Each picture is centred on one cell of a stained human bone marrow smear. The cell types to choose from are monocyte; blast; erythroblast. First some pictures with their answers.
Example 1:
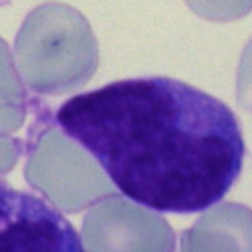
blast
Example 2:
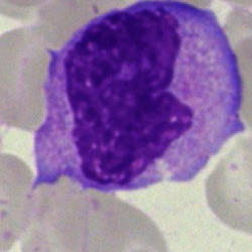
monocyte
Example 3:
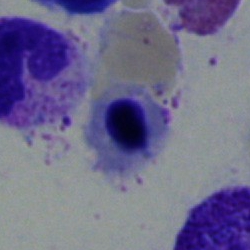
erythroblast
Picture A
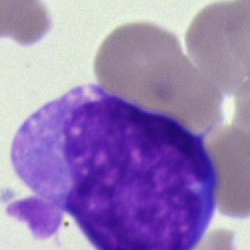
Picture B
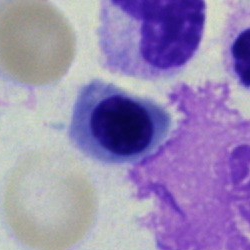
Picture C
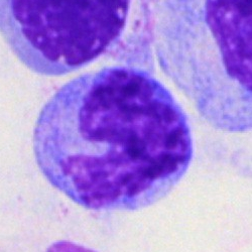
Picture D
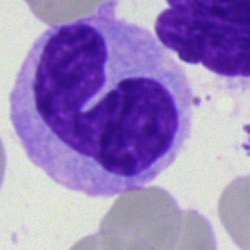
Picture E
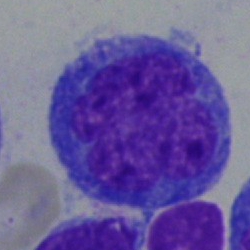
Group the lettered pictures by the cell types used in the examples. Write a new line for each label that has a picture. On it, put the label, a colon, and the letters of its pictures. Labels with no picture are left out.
monocyte: C, D
blast: A, E
erythroblast: B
